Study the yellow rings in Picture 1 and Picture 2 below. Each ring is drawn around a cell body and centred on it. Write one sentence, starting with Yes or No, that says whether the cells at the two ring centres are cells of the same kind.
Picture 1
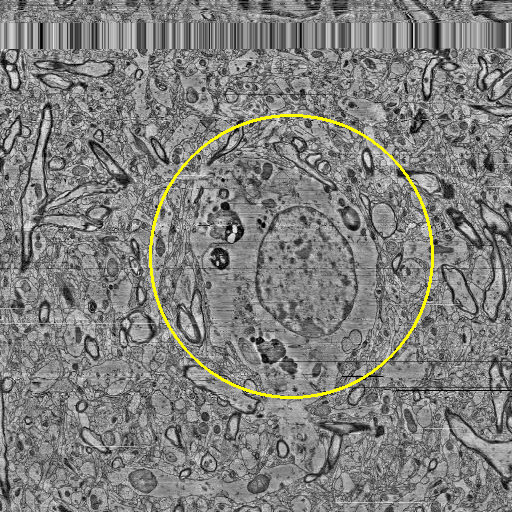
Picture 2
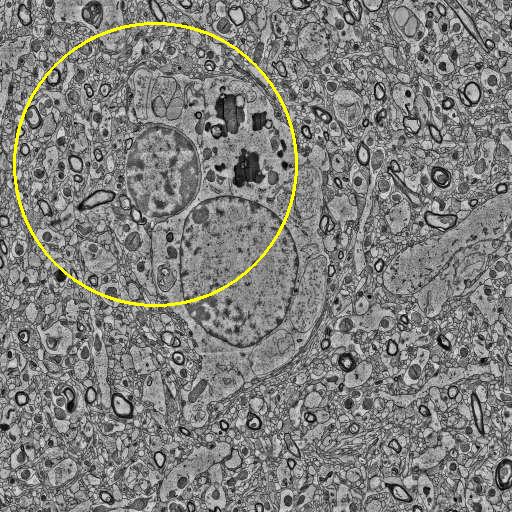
No, the cells at the ring centres are of two kinds.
